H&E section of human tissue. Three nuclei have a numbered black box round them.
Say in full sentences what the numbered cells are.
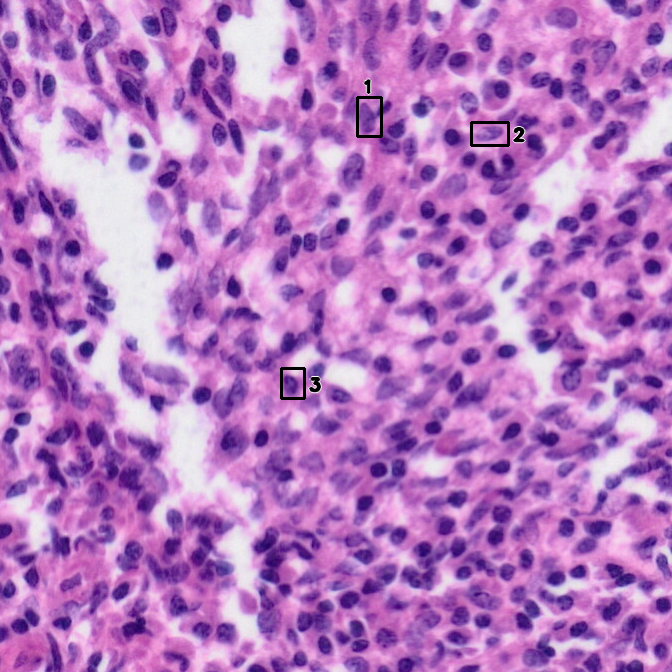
Cell 1 is a squamous epithelial cell. Cells 2 and 3 are plasma cells.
